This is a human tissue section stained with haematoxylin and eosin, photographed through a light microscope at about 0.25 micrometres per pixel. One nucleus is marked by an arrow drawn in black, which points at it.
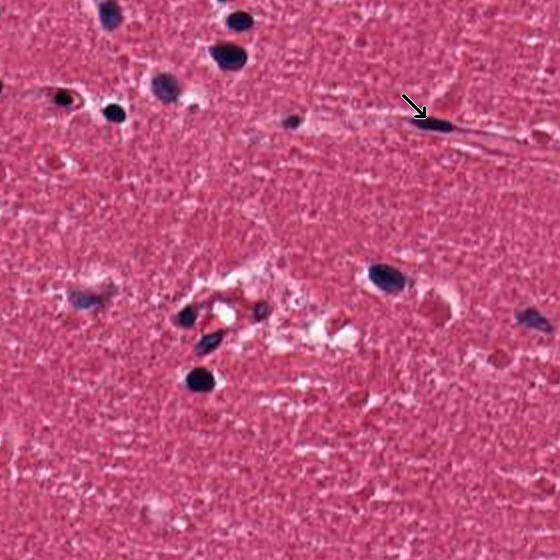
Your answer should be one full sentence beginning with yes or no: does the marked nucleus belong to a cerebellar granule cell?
No, belonging to a supporting cell, the marked nucleus is not part of a cerebellar granule cell.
